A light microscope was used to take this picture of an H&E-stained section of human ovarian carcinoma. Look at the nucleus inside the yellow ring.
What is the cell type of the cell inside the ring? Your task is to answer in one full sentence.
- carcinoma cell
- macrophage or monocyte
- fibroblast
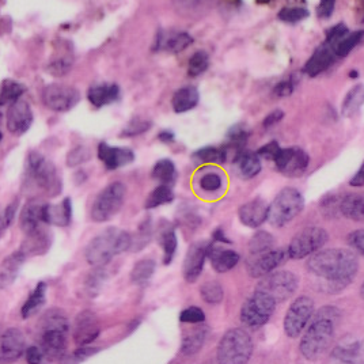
In this tissue sample, the cell inside the ring is a macrophage or monocyte.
